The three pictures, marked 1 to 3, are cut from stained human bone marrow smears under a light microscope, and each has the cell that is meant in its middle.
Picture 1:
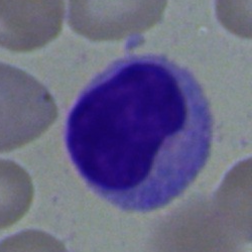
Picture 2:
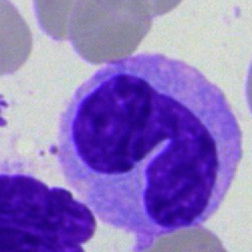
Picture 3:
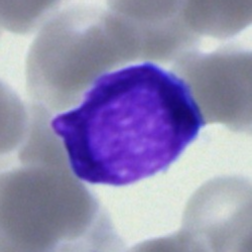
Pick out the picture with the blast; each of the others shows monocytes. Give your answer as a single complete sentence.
Picture 3 shows the blast.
